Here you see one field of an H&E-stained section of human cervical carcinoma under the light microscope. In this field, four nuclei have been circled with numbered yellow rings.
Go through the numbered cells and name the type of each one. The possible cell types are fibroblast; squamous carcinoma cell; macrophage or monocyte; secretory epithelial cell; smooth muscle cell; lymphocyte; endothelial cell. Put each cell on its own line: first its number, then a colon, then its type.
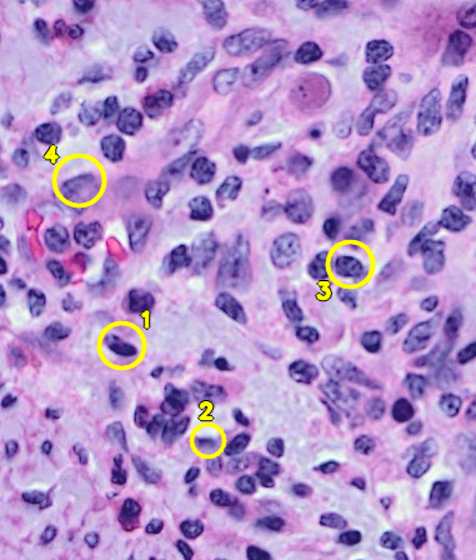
1: lymphocyte
2: lymphocyte
3: lymphocyte
4: endothelial cell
